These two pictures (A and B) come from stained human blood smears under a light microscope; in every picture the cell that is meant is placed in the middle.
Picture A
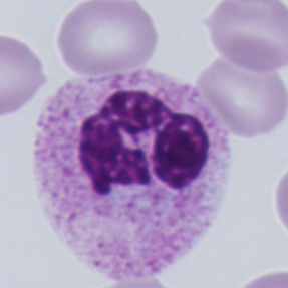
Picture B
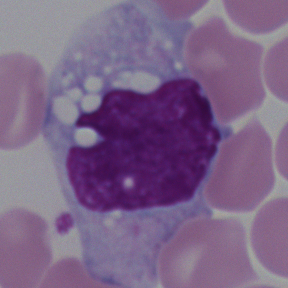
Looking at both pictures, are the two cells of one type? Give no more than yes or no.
no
